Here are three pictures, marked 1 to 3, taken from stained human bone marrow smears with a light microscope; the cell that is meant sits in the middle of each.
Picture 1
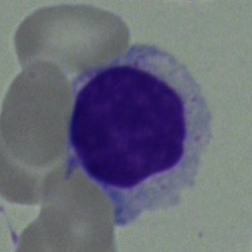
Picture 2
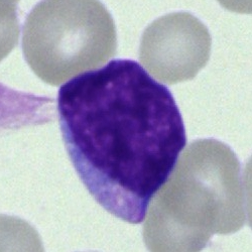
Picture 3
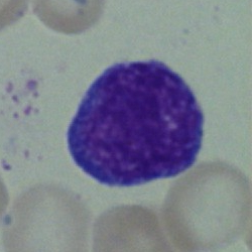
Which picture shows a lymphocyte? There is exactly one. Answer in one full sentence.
Picture 1 shows the lymphocyte.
